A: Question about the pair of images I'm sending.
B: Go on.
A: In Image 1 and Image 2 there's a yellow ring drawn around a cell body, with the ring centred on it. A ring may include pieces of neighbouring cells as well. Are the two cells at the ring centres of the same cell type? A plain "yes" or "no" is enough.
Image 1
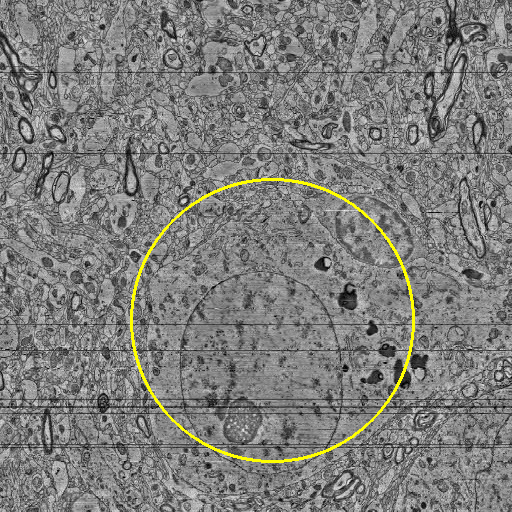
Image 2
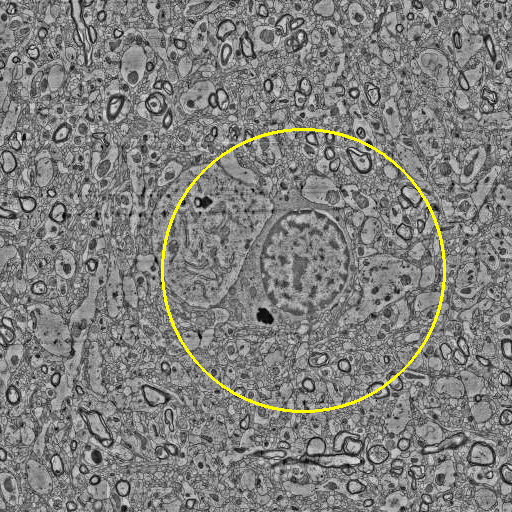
no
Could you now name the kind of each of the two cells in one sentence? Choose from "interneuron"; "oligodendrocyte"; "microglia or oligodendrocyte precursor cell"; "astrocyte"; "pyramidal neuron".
The first ring encloses a pyramidal neuron; the second ring encloses an oligodendrocyte.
